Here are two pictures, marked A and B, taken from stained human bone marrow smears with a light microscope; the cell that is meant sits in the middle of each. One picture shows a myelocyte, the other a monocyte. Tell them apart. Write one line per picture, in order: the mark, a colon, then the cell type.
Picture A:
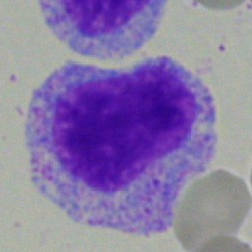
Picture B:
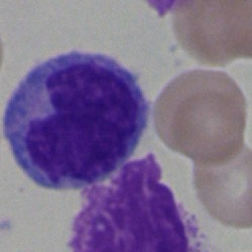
A: myelocyte
B: monocyte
